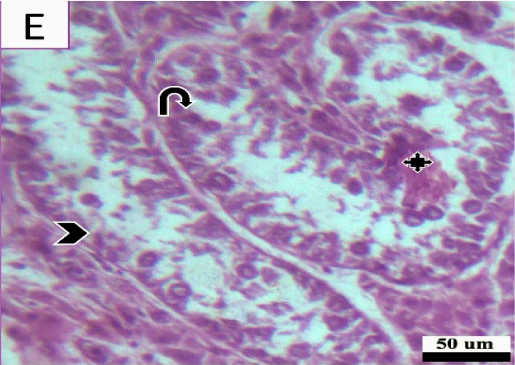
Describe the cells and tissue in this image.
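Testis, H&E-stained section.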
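Seminiferous tubules with disturbed epithelium are seen in a pink-purple stained section. The large central tubule is lined by loosely arranged germ cells with round purple nuclei, separated by wide pale spaces, and parts of the wall carry only a thin layer of cells. Inside the tubule lies an irregular dark pink clump of debris among scattered cells. Along the tubule edge a row of lining cells rests on the thin wall. Overall the orderly layered arrangement of germ cells is lost.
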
